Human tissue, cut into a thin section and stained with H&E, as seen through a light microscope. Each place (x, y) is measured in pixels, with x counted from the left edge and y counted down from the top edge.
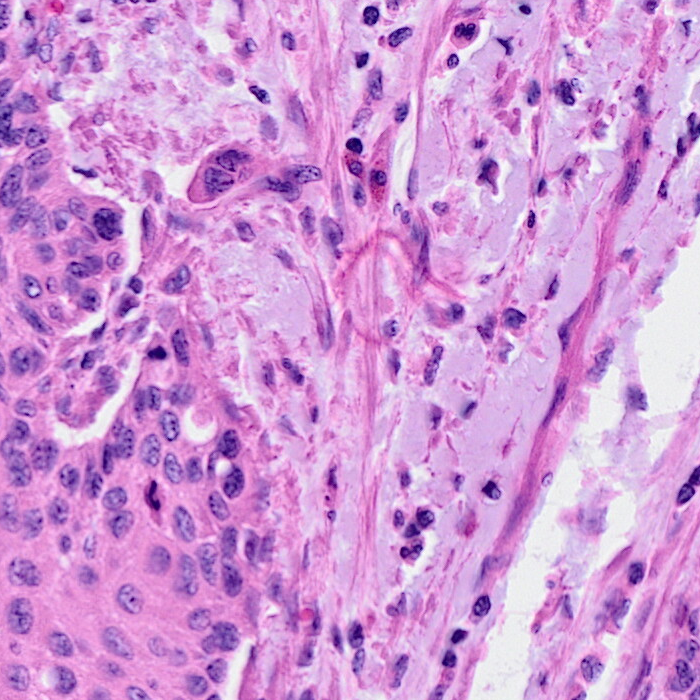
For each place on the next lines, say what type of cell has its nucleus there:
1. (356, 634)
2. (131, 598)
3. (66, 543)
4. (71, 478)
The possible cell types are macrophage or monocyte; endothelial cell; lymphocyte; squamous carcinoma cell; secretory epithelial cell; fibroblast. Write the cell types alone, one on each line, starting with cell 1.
lymphocyte
squamous carcinoma cell
squamous carcinoma cell
squamous carcinoma cell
